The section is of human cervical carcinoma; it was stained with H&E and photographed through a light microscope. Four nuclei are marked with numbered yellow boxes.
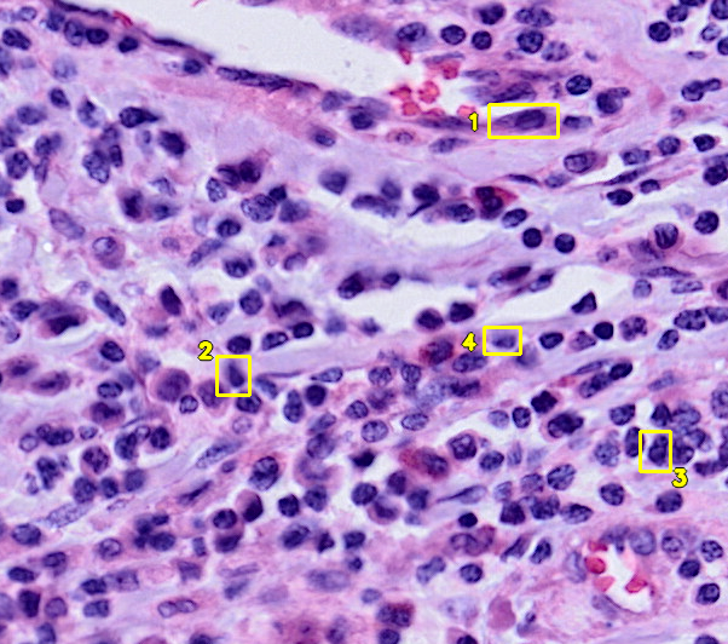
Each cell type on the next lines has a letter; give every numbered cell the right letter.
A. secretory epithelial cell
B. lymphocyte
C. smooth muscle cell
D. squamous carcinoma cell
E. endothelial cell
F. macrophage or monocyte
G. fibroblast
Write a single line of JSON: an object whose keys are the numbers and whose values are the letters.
{"1": "E", "2": "B", "3": "B", "4": "B"}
